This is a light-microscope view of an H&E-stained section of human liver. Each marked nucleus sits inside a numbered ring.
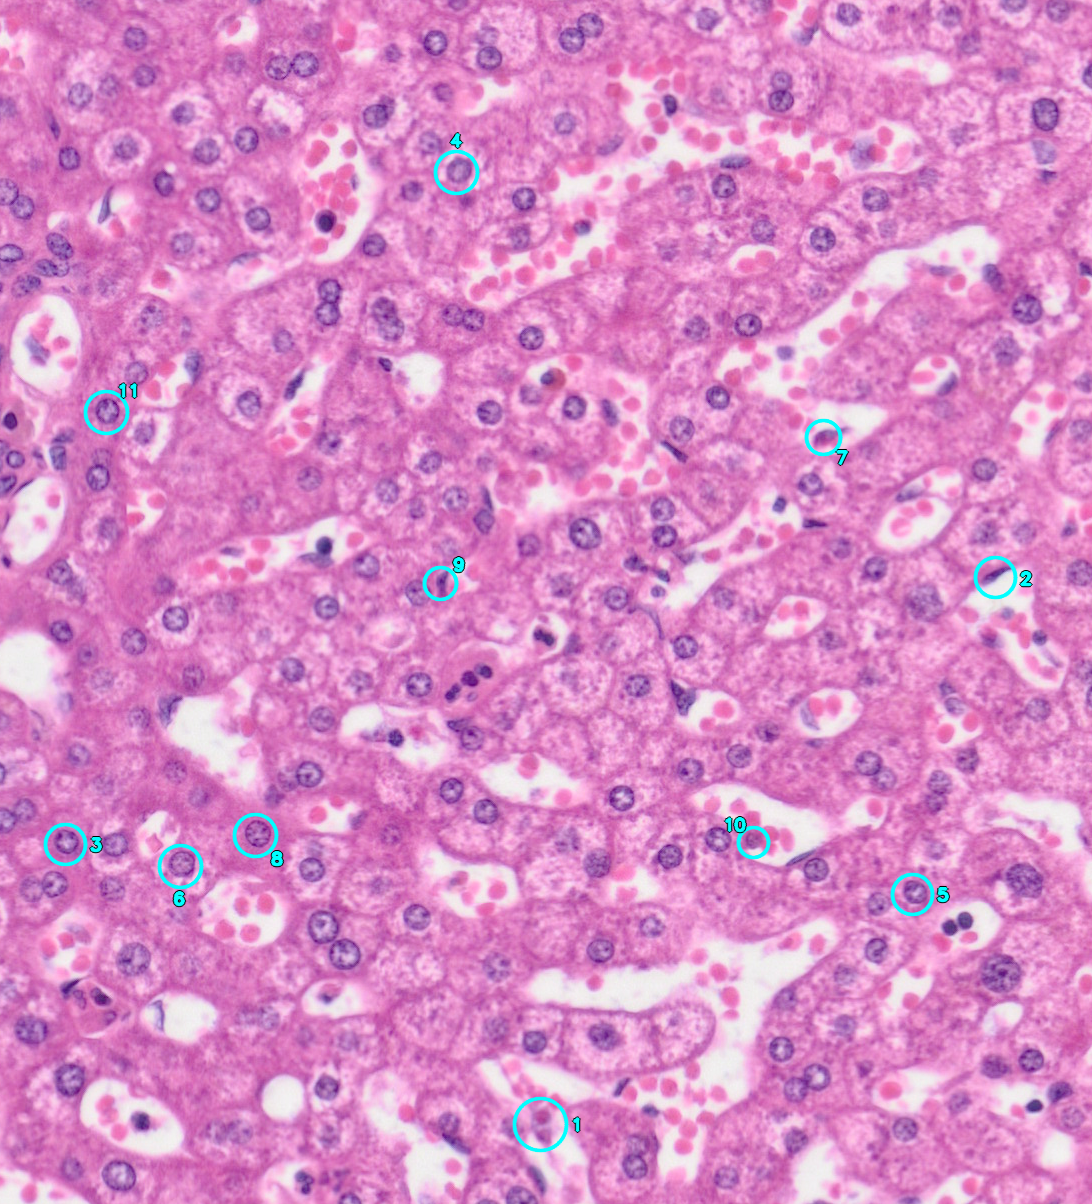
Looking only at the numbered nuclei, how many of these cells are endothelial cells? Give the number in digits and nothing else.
2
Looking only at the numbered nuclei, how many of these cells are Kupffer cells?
3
